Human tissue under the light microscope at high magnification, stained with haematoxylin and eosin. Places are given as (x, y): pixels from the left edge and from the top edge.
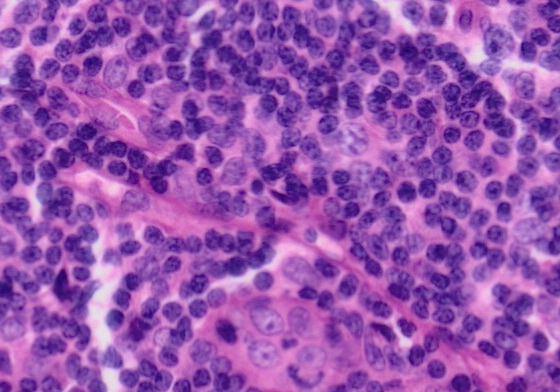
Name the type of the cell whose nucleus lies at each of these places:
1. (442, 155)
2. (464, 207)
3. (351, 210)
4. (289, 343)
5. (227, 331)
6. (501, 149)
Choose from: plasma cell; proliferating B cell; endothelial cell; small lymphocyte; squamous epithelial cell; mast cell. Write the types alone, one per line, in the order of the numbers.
small lymphocyte
small lymphocyte
small lymphocyte
endothelial cell
endothelial cell
small lymphocyte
